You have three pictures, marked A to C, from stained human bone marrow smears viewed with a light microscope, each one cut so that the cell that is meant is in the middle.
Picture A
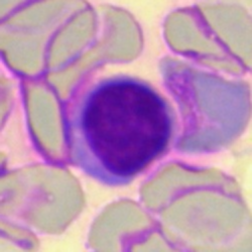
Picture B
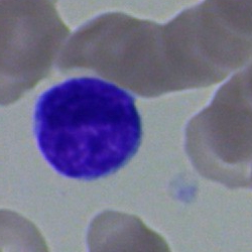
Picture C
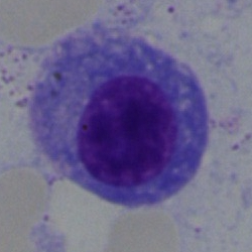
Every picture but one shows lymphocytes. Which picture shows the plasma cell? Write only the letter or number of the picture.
C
